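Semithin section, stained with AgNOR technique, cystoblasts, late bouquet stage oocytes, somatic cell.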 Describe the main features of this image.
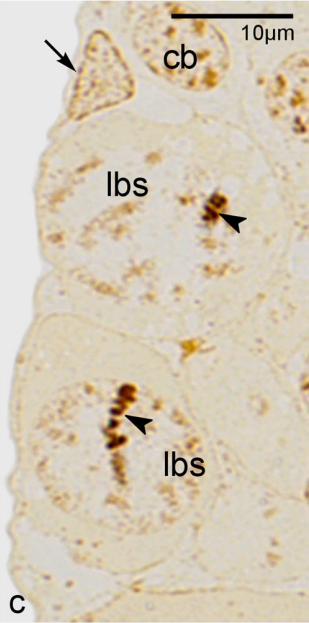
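This section through the germarium shows large rounded germ cells packed together with smaller cells between them. Smaller cells with round nuclei containing brown granules sit at the top, and a small triangular cell is wedged at the edge between the larger ones.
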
